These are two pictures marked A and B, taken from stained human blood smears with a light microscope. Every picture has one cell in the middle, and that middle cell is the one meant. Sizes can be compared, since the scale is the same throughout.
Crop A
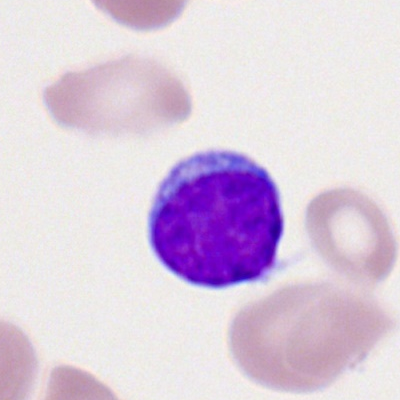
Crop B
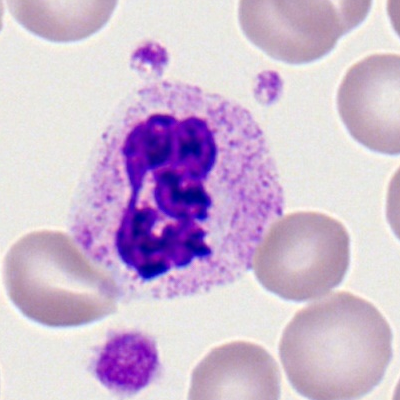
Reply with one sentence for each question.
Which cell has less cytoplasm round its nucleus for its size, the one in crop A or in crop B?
In crop A the nucleus takes up the larger part of its cell.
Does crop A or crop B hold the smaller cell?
Smaller is the cell in crop A, and the other is about 2 times as large in area.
